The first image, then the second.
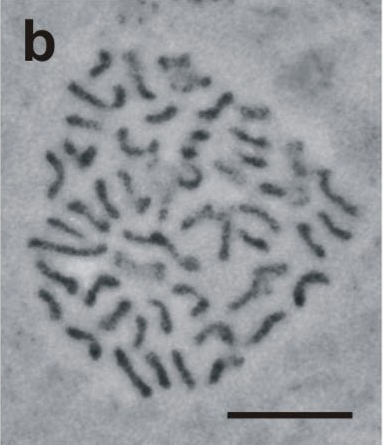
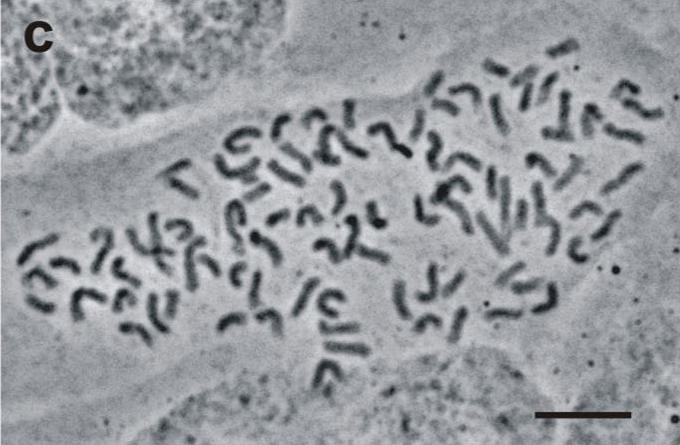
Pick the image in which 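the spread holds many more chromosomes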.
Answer: the second image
